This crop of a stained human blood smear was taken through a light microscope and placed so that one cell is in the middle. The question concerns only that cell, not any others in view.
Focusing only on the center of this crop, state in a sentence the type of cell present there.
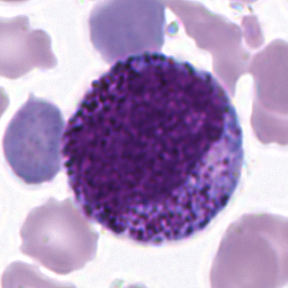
The single cell at the center of the crop is a promyelocyte.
